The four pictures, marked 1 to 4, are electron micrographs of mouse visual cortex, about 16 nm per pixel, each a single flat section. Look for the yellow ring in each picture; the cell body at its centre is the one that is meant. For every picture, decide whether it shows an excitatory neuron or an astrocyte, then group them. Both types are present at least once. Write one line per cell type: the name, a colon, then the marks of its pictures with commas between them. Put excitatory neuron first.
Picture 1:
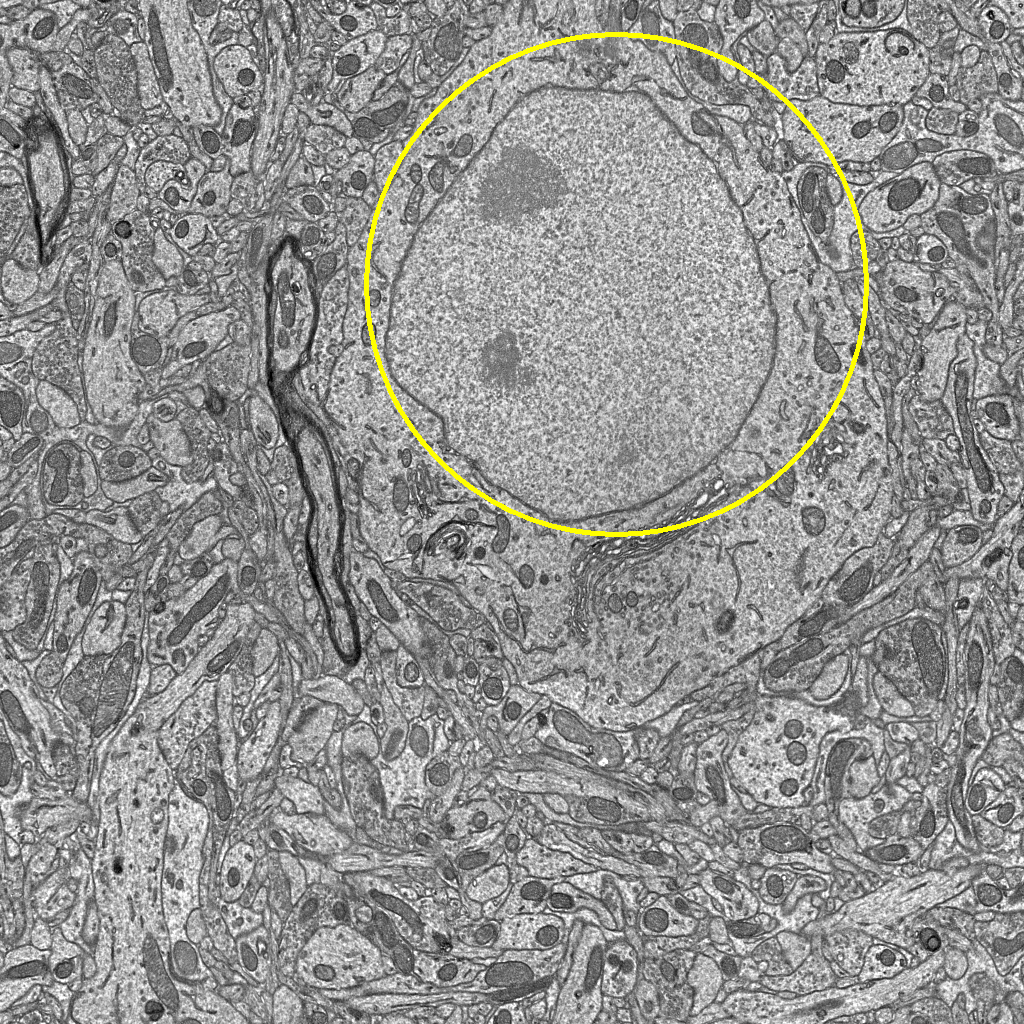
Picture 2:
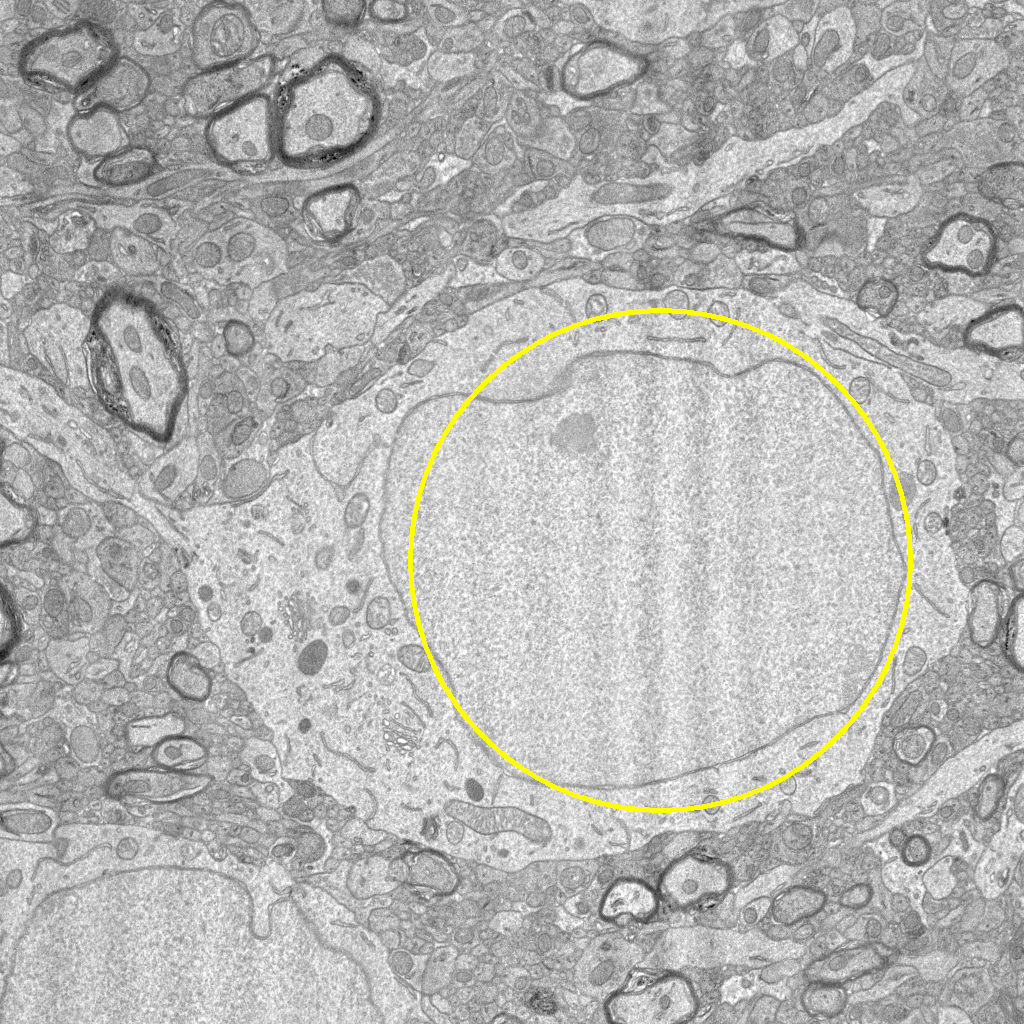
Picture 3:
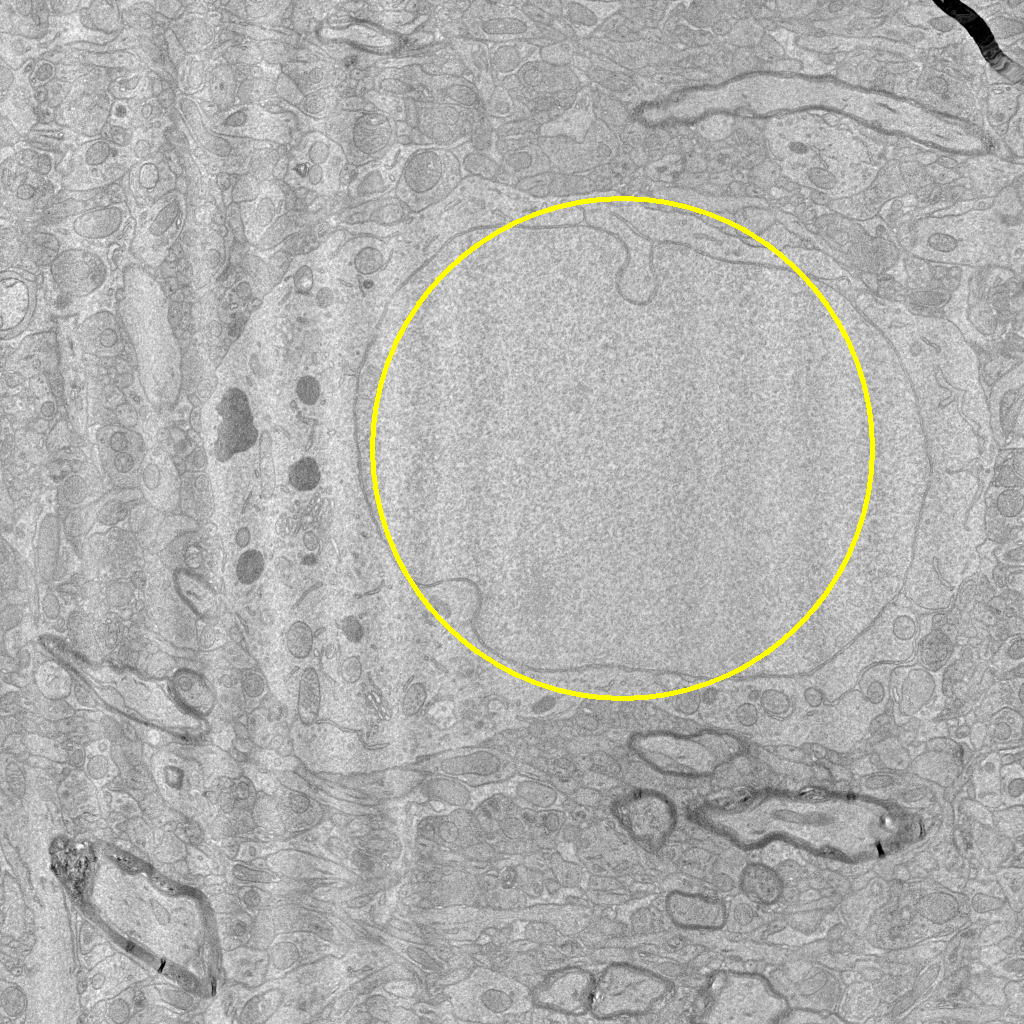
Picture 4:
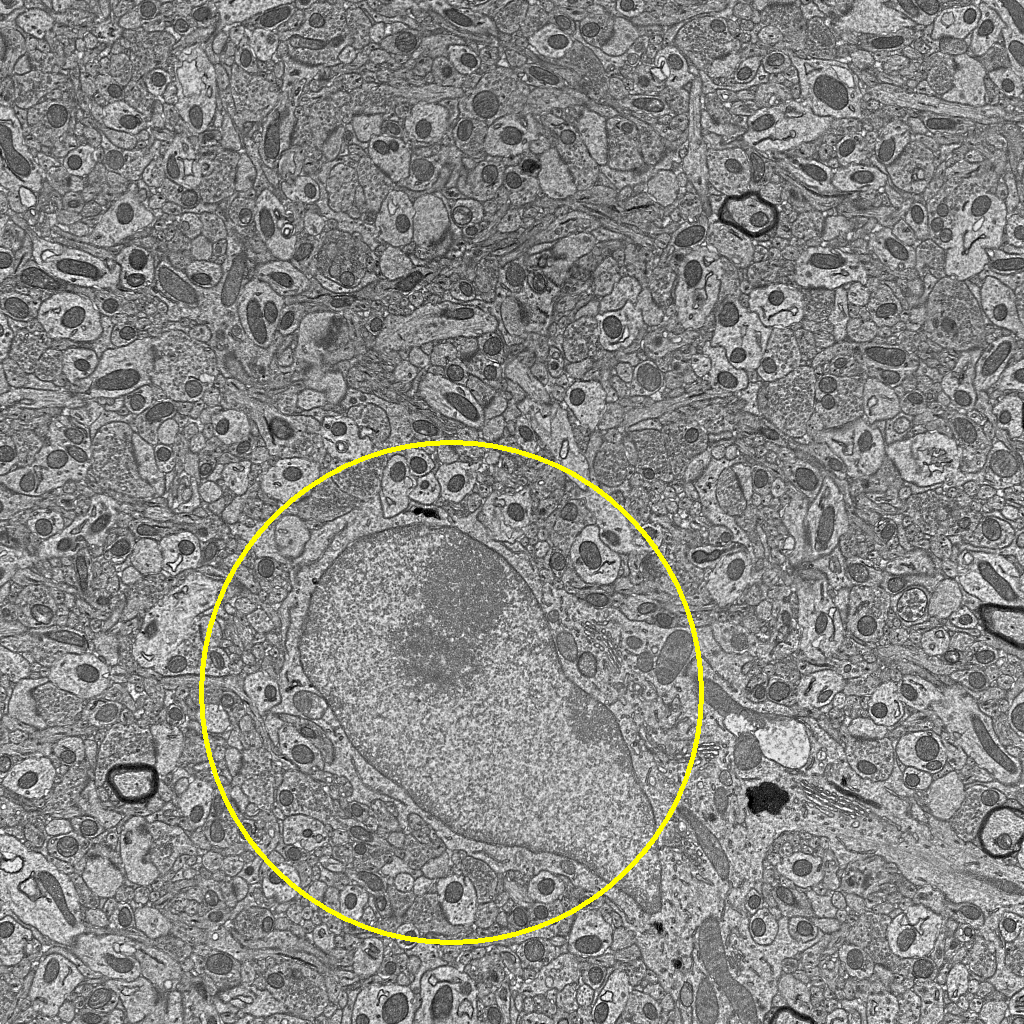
excitatory neuron: 1, 2, 3
astrocyte: 4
